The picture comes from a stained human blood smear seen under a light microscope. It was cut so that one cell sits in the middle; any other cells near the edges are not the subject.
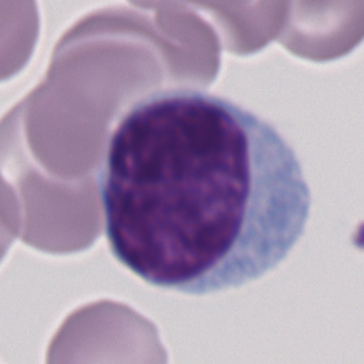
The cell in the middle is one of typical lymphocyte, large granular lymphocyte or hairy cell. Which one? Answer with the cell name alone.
typical lymphocyte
